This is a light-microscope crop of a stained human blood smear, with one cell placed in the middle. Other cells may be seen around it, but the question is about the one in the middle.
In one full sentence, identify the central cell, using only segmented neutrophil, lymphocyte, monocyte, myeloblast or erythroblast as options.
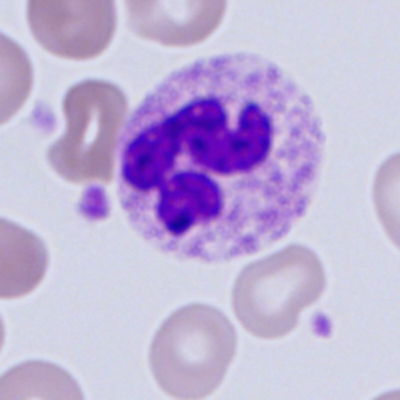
The cell at the middle of the frame should be recorded as a segmented neutrophil.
